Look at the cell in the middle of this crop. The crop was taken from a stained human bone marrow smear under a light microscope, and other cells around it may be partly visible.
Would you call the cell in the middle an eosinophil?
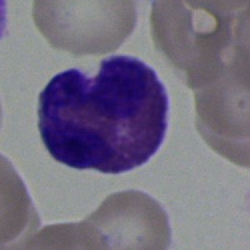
yes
